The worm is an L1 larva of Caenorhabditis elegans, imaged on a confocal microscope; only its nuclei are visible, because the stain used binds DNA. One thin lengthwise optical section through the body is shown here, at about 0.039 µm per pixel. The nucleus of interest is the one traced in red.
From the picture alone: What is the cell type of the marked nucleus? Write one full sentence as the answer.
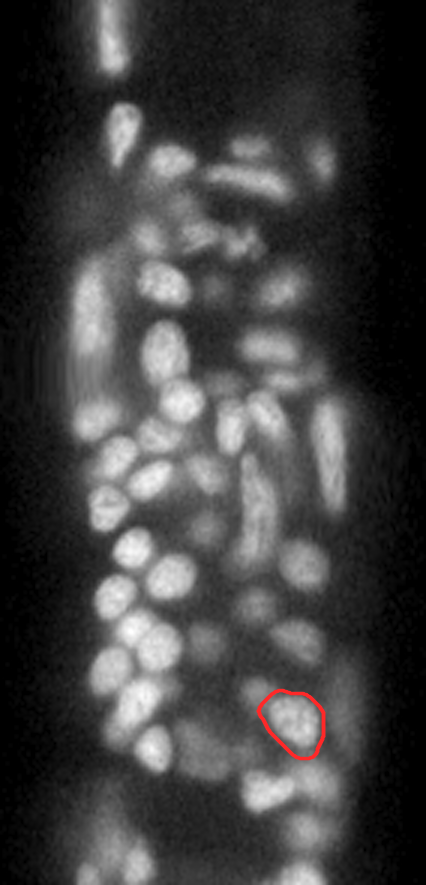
The marked nucleus is that of a neuron.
